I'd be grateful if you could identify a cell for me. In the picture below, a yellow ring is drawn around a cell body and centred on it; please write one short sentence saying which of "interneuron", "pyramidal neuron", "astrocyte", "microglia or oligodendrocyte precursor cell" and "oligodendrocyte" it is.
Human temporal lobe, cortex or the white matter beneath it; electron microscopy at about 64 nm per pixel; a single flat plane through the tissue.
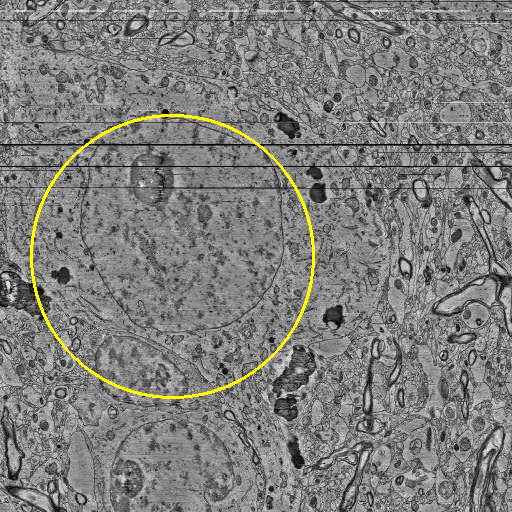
The cell under the ring's centre is a pyramidal neuron.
